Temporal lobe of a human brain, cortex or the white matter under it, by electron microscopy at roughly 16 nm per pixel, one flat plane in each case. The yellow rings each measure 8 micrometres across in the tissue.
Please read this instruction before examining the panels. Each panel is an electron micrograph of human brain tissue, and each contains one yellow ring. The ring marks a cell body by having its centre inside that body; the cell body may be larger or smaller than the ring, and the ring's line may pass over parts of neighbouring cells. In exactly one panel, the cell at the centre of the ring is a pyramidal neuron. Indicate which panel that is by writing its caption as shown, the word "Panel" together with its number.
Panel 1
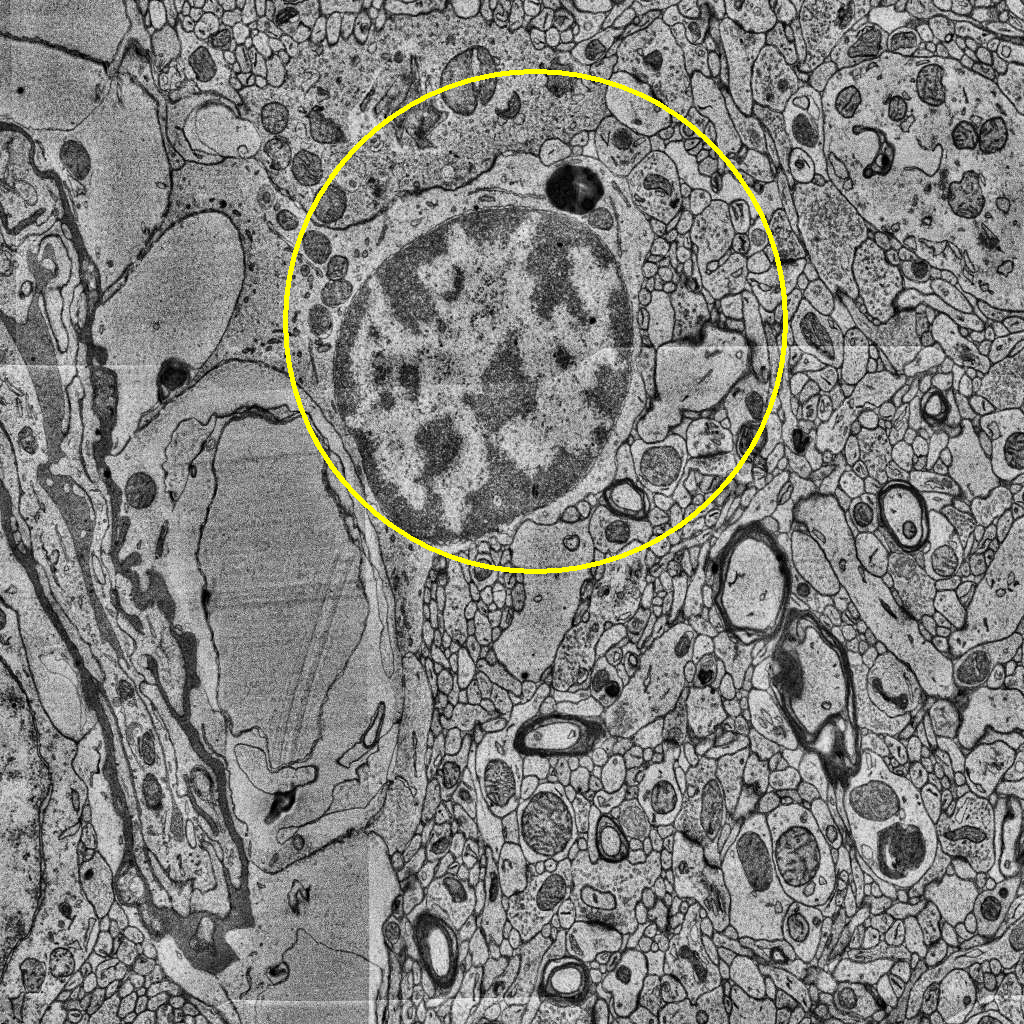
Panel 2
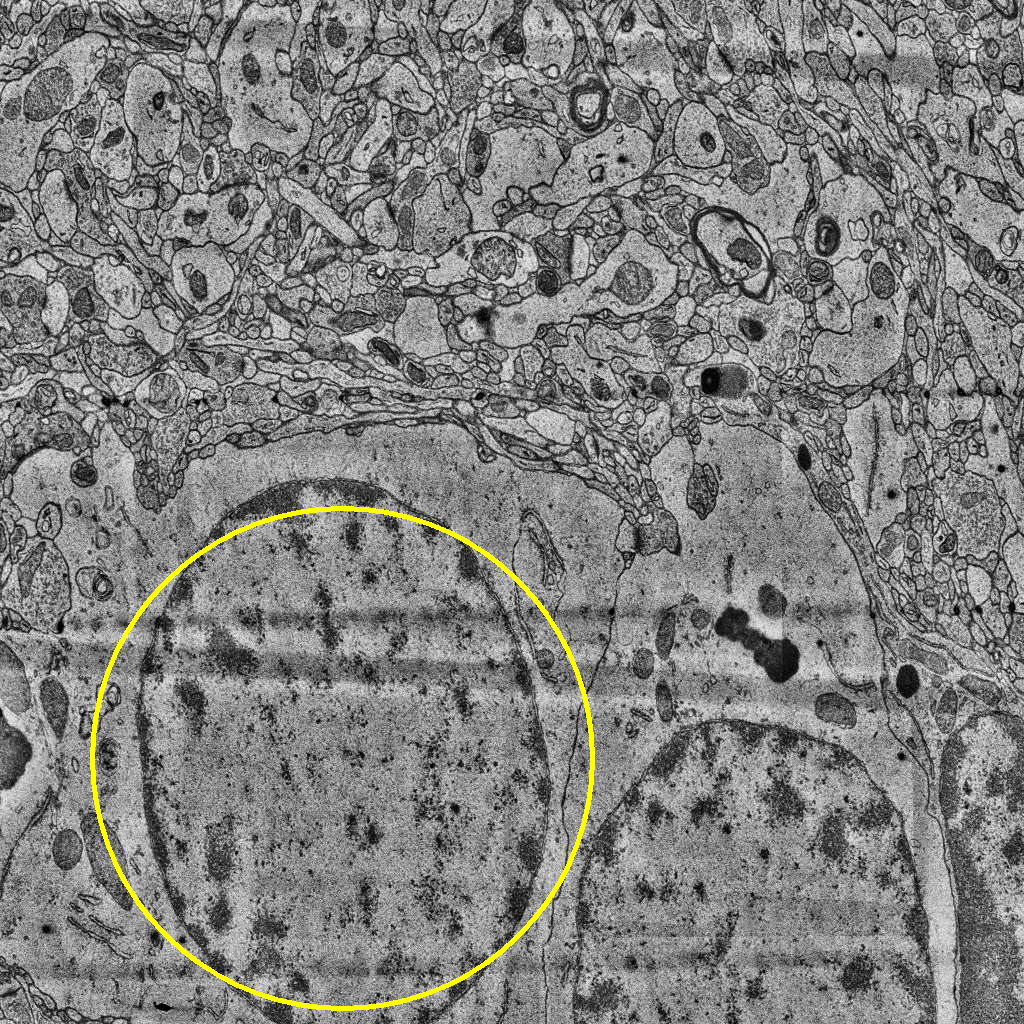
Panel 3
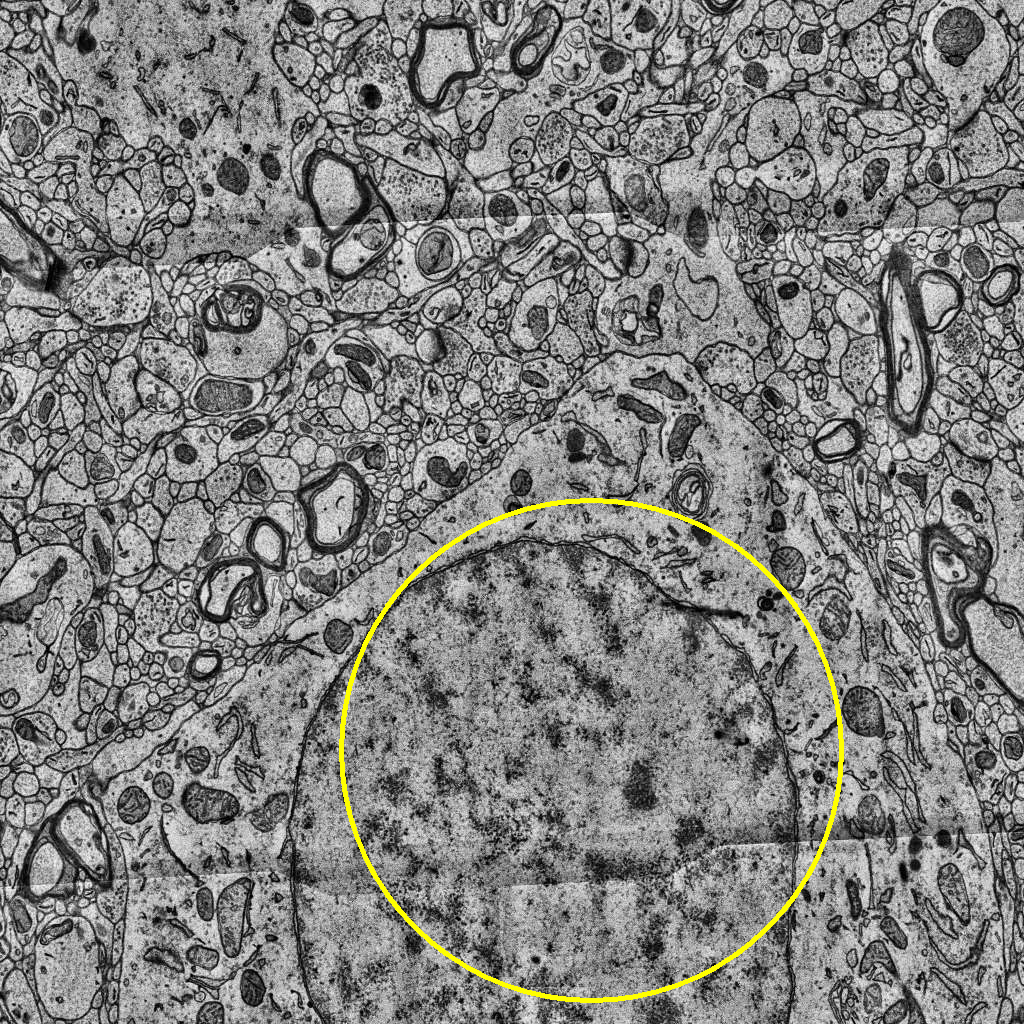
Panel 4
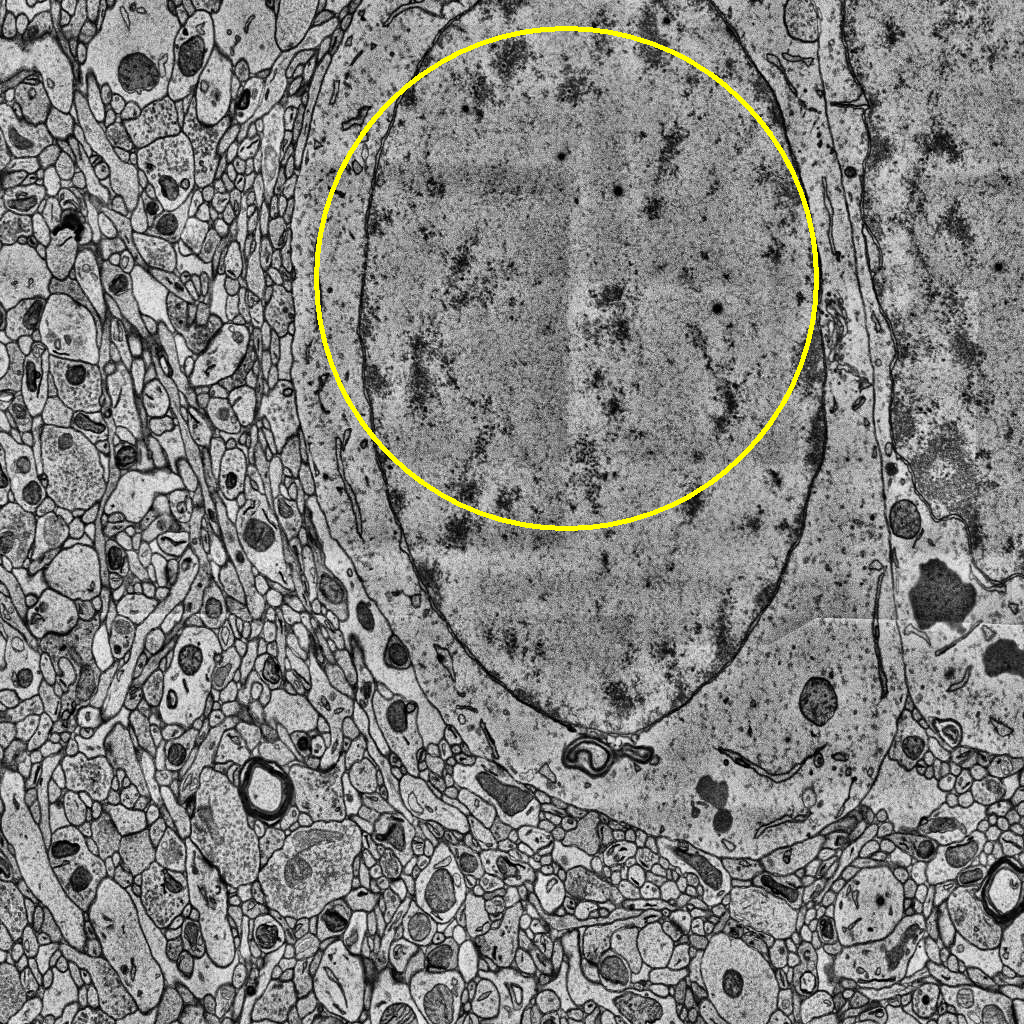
Panel 4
